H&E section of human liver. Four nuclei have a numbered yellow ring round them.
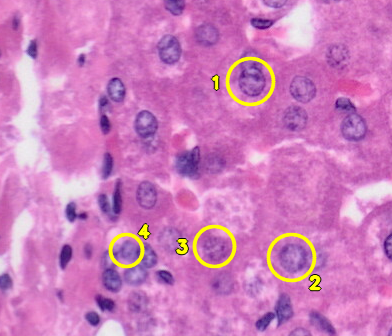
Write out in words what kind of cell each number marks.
Cells 1, 2 and 3 are hepatocytes. Cell 4 is a cholangiocyte.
